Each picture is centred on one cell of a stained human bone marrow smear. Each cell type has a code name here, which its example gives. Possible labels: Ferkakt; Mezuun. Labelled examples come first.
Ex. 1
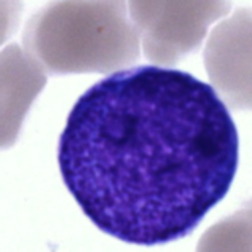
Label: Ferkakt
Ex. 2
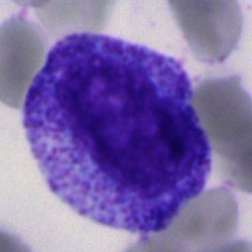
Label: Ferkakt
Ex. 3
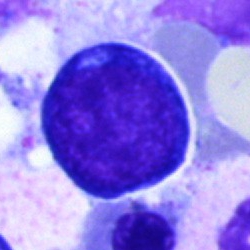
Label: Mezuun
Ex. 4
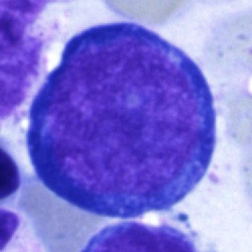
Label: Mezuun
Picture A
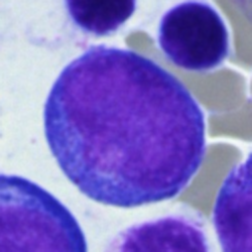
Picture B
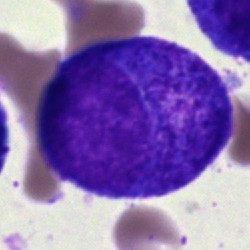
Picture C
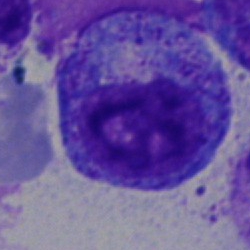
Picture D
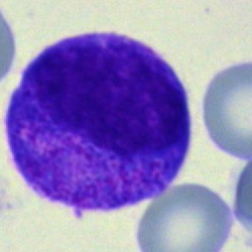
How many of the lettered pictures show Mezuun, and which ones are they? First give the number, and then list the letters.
1: A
